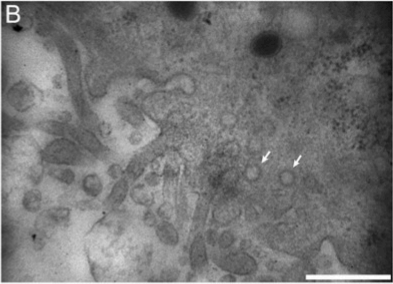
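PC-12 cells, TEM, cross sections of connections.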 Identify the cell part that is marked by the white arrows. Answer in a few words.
vesicles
